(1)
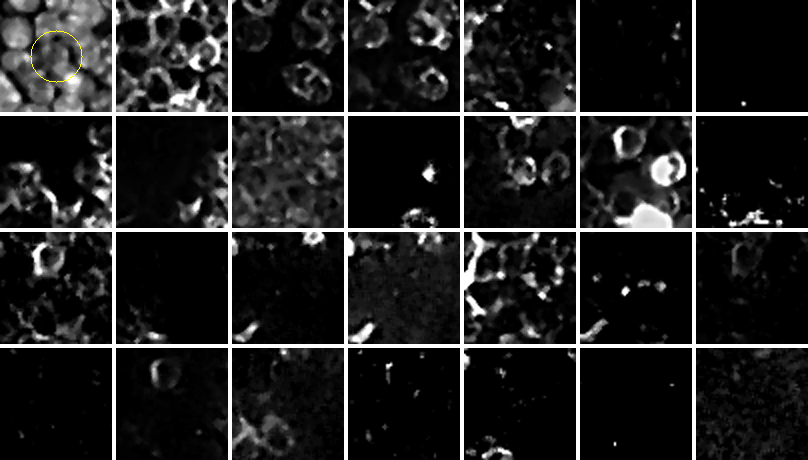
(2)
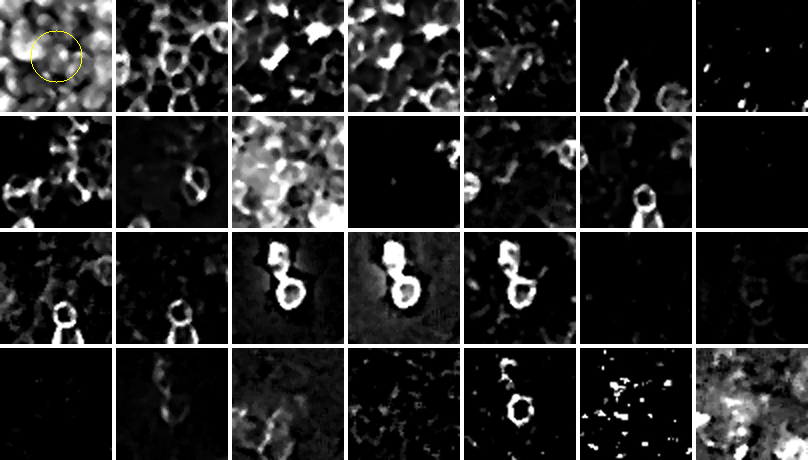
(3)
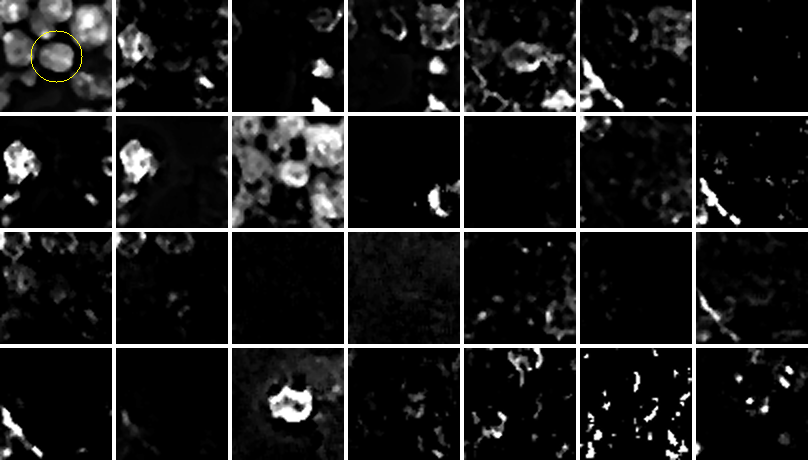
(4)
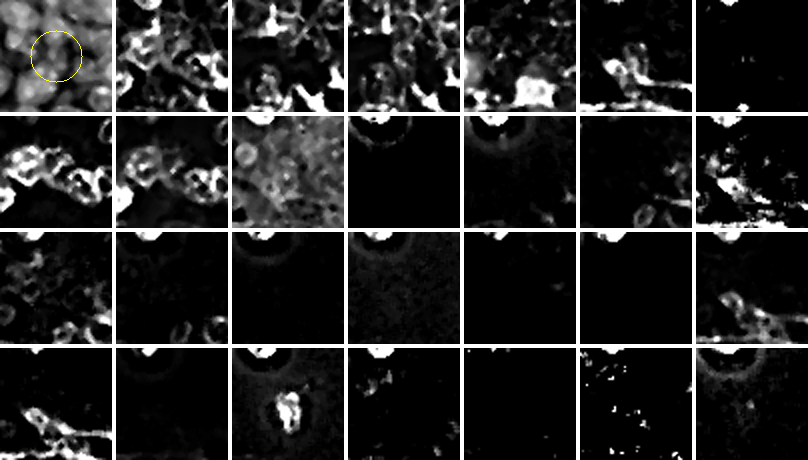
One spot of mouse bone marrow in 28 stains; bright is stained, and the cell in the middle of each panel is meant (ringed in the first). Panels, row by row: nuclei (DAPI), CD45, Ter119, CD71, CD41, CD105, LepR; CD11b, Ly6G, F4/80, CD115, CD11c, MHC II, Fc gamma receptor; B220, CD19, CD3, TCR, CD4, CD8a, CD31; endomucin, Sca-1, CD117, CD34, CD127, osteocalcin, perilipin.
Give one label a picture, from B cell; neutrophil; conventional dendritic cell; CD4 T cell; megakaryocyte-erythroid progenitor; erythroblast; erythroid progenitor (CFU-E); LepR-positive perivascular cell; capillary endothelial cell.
1: conventional dendritic cell
2: CD4 T cell
3: megakaryocyte-erythroid progenitor
4: erythroid progenitor (CFU-E)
